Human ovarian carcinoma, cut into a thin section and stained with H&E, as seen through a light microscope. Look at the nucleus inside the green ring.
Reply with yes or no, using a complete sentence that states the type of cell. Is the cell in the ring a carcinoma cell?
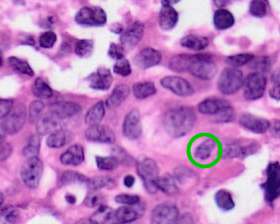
No, it is as a macrophage or monocyte, not a carcinoma cell, that the cell in the ring is classified.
